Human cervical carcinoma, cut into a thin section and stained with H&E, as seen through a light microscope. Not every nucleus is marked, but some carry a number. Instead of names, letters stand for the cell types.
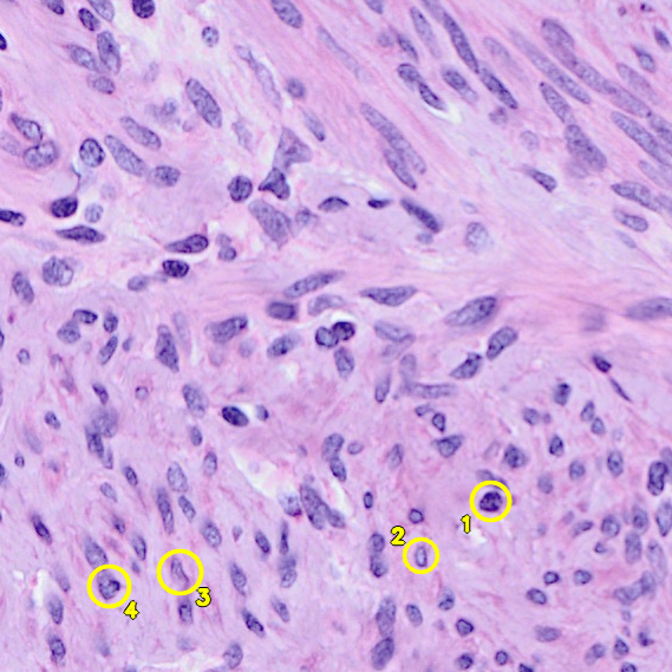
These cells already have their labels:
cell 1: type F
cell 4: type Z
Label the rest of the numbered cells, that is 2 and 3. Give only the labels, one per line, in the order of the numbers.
type Z
type Z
